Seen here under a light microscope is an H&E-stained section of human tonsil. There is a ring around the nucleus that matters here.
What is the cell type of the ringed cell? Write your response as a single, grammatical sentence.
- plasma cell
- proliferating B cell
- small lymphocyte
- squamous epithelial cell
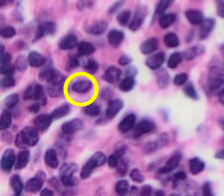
Cell type answer for this item: the ringed cell is a small lymphocyte.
